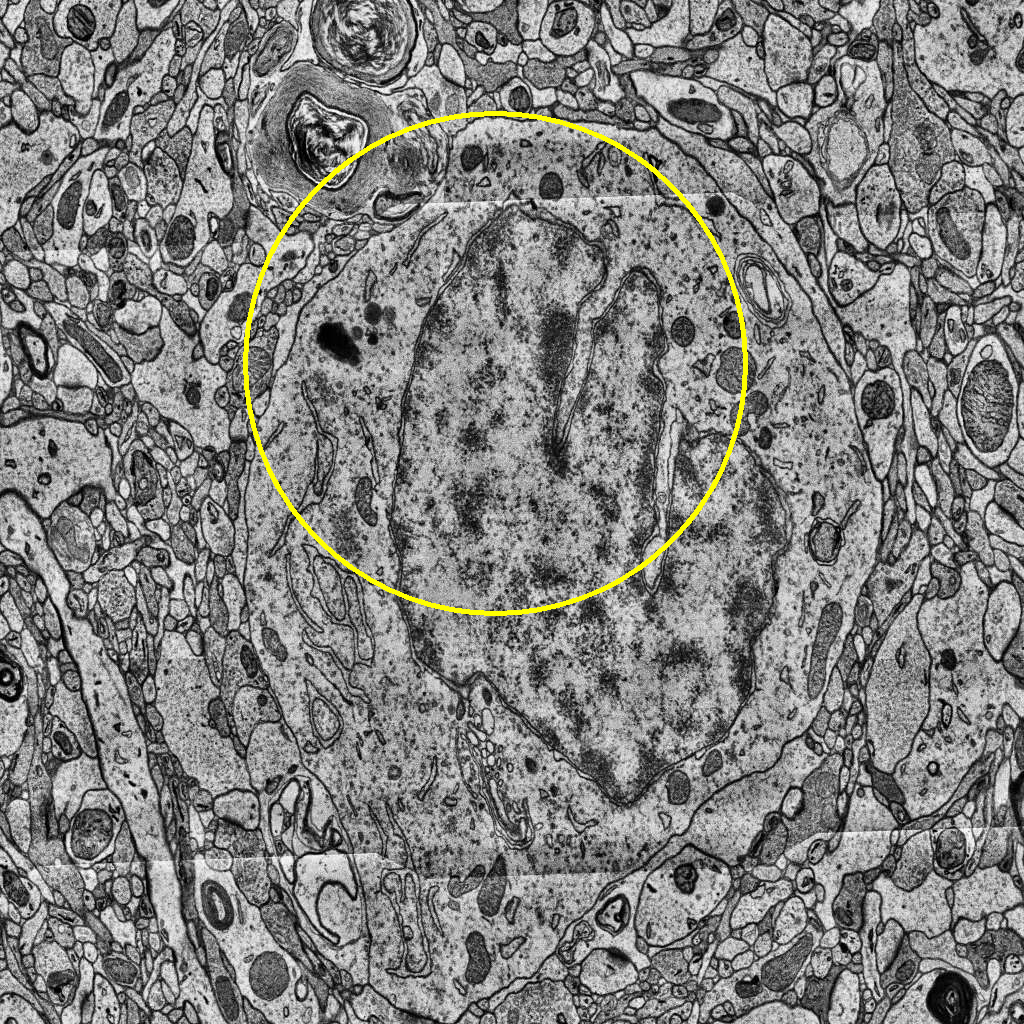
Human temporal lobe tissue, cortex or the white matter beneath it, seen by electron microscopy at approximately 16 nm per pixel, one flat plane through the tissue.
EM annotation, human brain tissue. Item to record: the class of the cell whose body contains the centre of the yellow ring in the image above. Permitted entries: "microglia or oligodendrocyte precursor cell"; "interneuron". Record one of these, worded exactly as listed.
interneuron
